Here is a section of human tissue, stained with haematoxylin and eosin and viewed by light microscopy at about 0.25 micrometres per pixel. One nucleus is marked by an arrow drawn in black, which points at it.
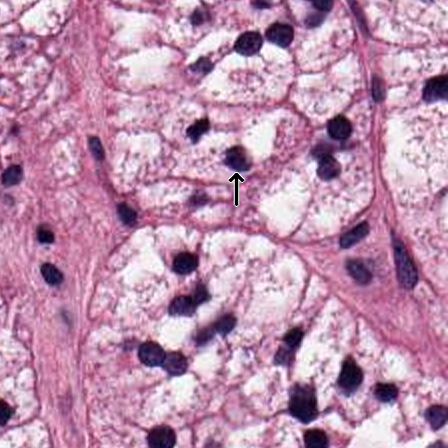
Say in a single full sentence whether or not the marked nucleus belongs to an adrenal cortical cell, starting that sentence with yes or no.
Yes, an adrenal cortical cell is the cell that the marked nucleus belongs to.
